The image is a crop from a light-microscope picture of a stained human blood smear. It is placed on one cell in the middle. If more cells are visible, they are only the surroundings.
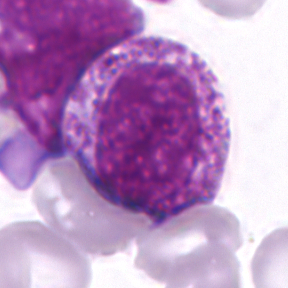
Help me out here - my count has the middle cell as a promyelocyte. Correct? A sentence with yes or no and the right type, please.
No, the cell in the centre is a myelocyte instead of a promyelocyte.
